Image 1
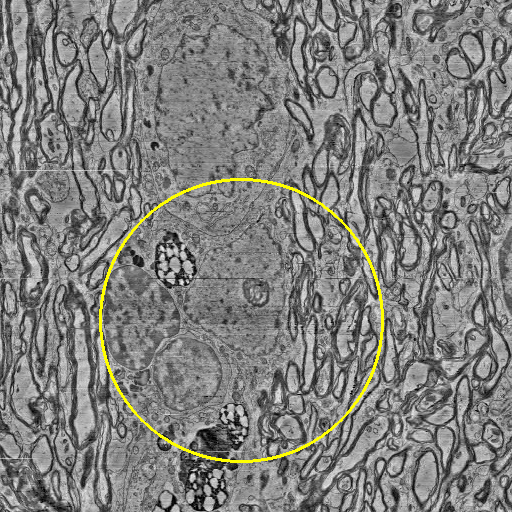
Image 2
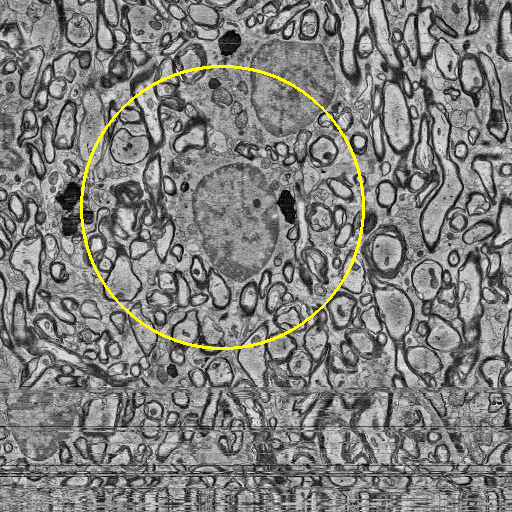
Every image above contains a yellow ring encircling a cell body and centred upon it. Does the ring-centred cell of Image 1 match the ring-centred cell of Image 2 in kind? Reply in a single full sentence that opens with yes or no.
No, the cell at the ring's centre in Image 1 is a separate kind from that in Image 2.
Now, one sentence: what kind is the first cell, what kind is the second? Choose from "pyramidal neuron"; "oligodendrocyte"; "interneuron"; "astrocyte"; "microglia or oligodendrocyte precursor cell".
The first picture has an astrocyte at its ring centre, and the second has an oligodendrocyte.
